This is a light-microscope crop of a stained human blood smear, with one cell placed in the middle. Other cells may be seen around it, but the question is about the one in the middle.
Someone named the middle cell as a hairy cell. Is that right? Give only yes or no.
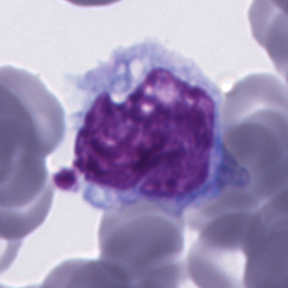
no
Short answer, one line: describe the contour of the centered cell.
No smooth contour is present; the border is ragged or extended into projections.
